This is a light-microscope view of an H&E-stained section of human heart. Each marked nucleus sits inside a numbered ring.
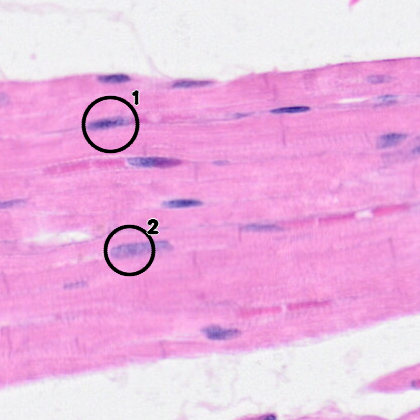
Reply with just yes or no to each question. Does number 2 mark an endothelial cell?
no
